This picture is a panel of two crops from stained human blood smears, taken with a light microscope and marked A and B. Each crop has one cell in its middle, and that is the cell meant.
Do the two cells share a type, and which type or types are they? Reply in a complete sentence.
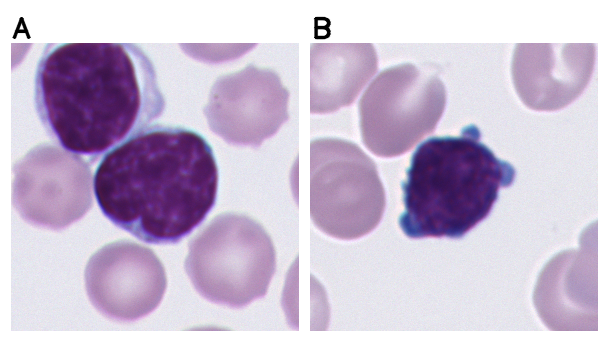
Yes, at the centre of both crops are lymphocytes.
